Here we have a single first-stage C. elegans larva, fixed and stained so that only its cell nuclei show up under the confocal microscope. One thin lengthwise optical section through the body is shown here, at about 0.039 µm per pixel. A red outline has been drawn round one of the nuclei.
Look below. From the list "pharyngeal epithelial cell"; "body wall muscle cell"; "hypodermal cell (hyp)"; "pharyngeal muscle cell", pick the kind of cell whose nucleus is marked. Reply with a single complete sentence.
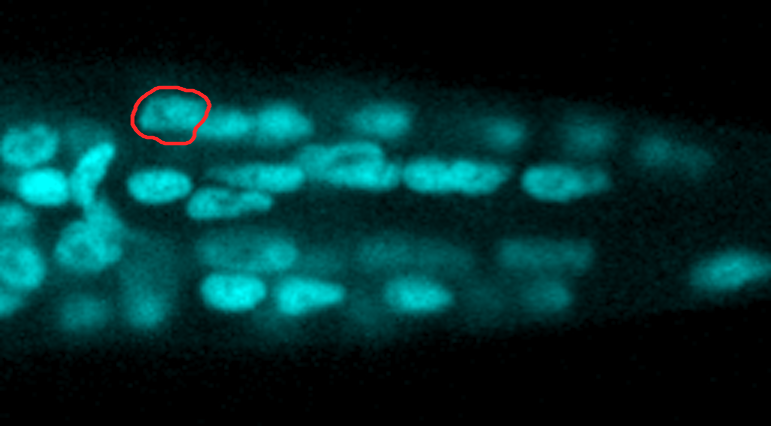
The cell with the marked nucleus is a body wall muscle cell.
